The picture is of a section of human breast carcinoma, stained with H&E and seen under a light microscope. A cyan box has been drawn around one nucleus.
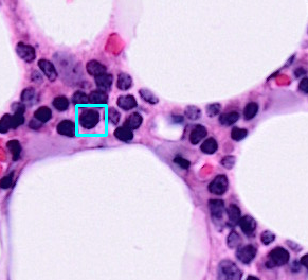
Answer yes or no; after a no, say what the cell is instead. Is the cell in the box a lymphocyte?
Yes.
